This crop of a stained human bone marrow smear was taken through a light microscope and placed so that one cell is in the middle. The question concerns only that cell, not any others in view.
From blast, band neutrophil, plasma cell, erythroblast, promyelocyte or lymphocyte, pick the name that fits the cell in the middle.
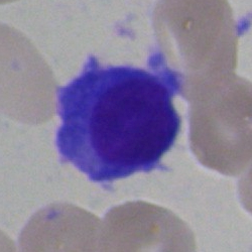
plasma cell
